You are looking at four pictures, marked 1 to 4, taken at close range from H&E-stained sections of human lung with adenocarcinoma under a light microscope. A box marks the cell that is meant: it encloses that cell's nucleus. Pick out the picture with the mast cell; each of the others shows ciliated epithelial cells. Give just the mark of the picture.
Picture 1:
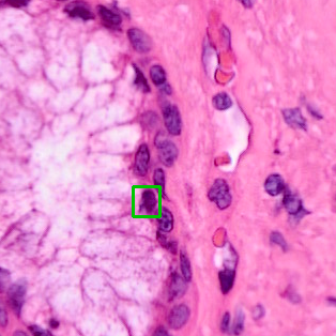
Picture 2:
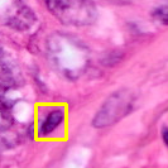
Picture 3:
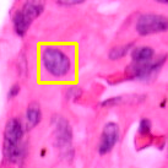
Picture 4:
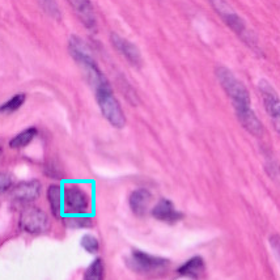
3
